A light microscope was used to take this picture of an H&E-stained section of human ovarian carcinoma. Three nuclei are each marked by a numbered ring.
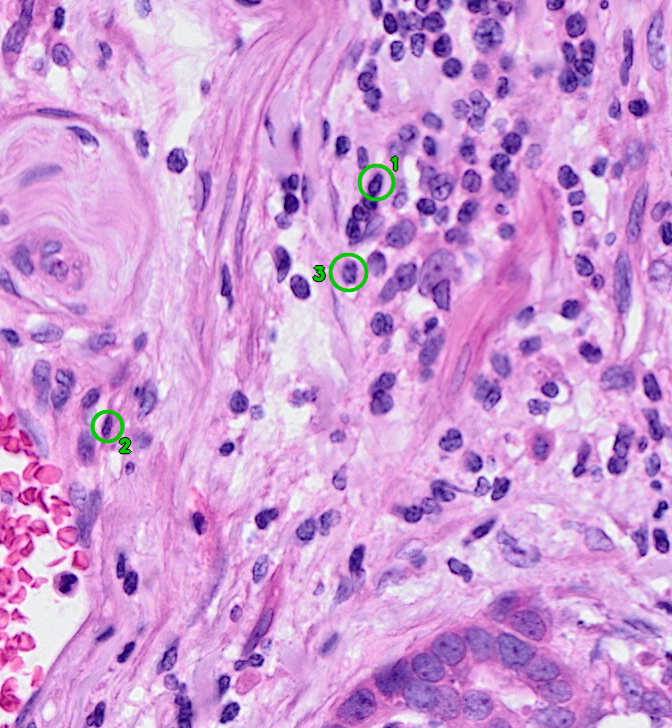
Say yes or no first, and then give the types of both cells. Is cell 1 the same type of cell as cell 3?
Yes, both cells 1 and 3 are lymphocytes.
